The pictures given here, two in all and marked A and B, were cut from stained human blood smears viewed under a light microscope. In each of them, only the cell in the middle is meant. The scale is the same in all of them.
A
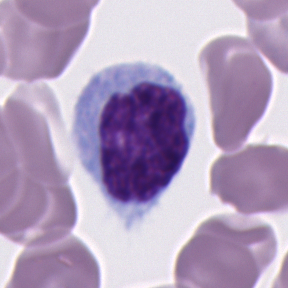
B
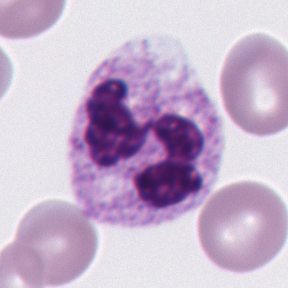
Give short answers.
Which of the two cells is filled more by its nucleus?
A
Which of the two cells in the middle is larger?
B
